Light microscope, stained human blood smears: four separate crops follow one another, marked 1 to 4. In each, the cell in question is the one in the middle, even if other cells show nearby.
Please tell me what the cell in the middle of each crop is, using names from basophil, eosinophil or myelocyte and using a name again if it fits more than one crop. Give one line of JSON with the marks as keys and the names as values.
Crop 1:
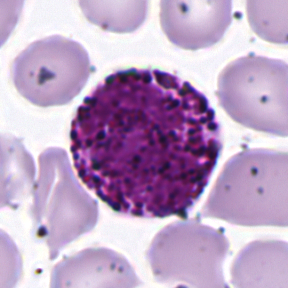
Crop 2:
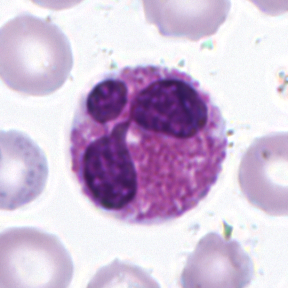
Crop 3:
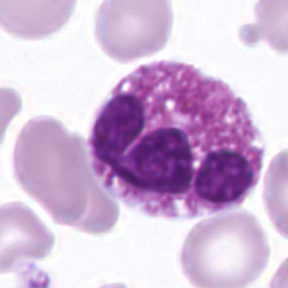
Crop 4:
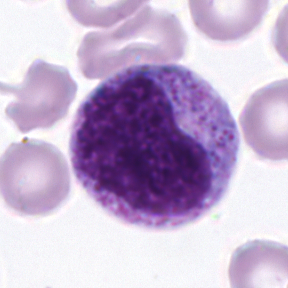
{"1": "basophil", "2": "eosinophil", "3": "eosinophil", "4": "myelocyte"}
